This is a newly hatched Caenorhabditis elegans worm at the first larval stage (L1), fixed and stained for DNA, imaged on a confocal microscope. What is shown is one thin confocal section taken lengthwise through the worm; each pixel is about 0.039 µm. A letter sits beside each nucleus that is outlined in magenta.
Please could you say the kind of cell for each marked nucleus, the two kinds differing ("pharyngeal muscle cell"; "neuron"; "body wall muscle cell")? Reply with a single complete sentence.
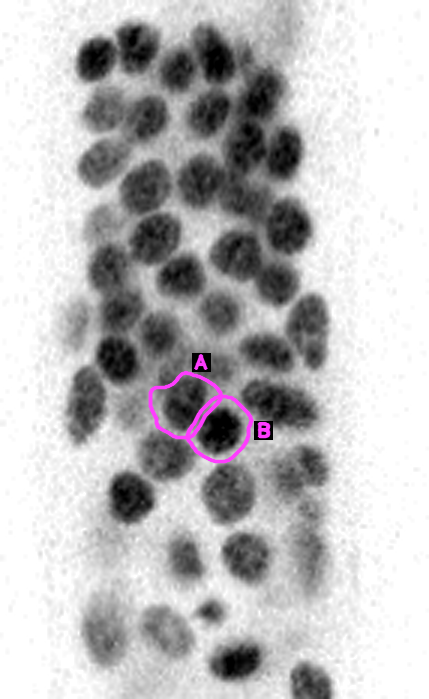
B belongs to a neuron, and A to a pharyngeal muscle cell.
